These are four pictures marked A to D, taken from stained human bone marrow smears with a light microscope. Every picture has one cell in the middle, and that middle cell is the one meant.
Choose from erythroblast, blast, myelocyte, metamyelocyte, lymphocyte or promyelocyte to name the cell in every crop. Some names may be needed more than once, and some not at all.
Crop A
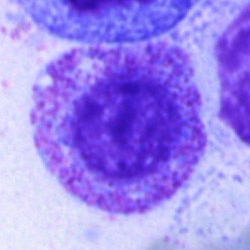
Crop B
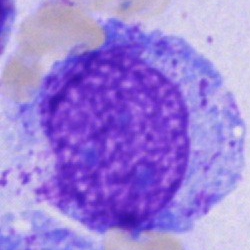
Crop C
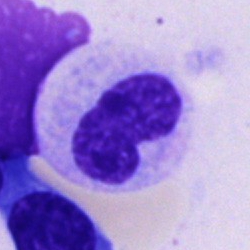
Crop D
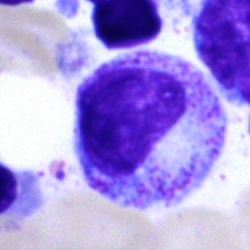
A: myelocyte
B: promyelocyte
C: metamyelocyte
D: myelocyte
